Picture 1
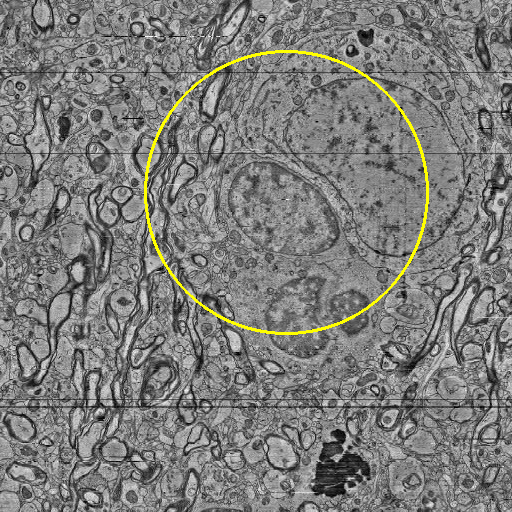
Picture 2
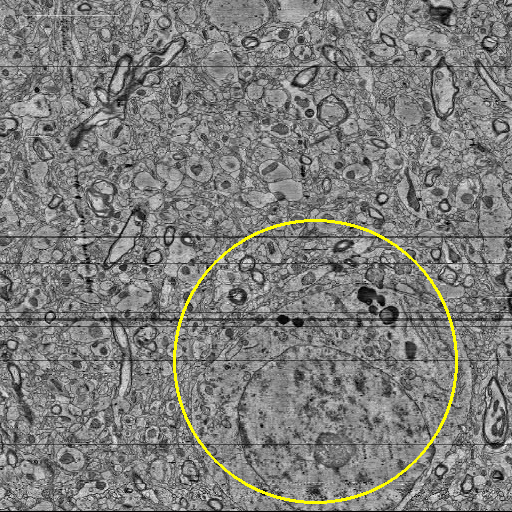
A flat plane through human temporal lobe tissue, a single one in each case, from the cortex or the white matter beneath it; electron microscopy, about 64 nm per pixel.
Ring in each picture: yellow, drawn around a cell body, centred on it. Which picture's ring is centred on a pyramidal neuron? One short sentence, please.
Picture 2 is the one.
